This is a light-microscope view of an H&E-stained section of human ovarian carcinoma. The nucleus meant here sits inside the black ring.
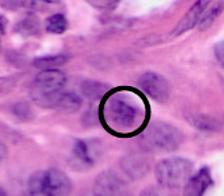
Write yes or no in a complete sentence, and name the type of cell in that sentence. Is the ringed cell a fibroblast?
No, just to correct that, the ringed cell is a carcinoma cell and not a fibroblast.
